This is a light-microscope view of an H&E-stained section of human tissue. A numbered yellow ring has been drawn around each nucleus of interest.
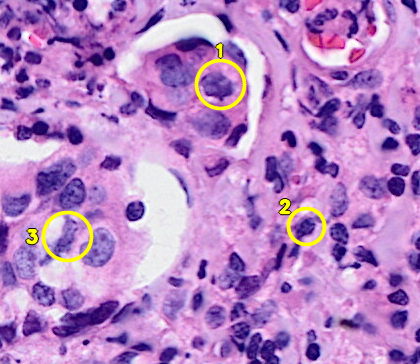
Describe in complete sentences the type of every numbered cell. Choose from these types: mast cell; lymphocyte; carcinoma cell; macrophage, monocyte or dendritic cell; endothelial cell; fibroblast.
Cells 1 and 3 are carcinoma cells. Cell 2 is a lymphocyte.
